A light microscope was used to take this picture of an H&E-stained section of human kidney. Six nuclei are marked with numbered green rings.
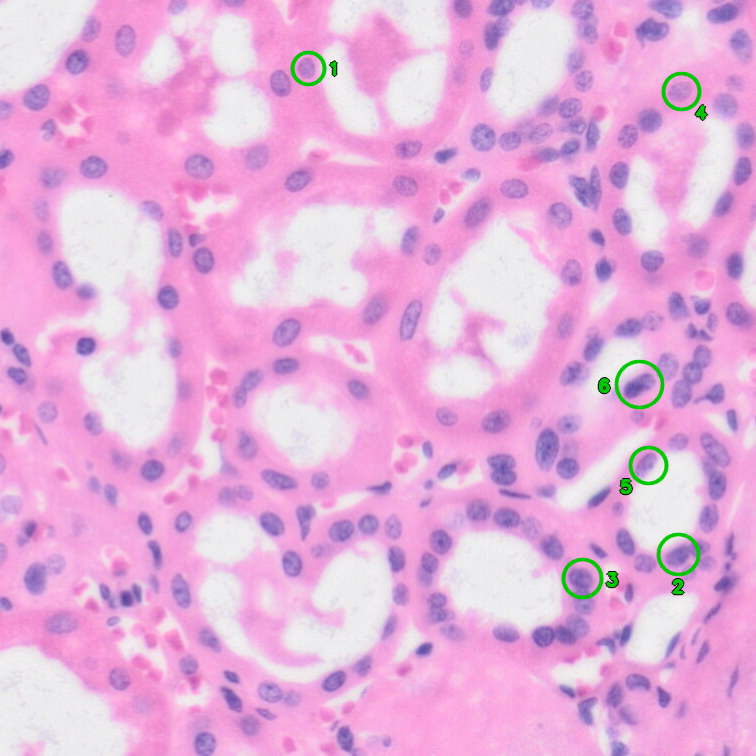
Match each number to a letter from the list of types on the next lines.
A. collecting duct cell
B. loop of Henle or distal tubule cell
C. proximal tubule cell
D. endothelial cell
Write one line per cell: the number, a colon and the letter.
1: C
2: A
3: A
4: B
5: A
6: A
